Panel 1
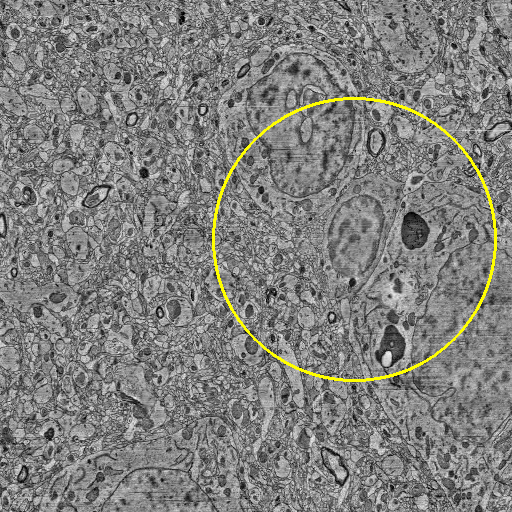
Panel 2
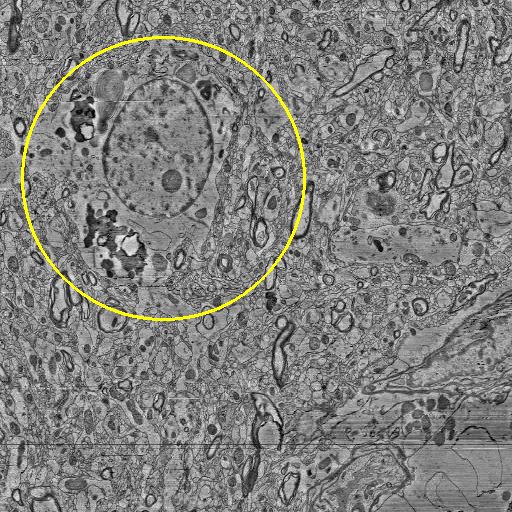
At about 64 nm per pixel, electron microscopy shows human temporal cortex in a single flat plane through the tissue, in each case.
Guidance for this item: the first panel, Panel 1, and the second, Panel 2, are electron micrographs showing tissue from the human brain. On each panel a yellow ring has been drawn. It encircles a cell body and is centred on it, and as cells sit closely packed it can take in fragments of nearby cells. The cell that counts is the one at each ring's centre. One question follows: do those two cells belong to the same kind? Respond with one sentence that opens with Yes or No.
No, the cells at the ring centres in Panel 1 and Panel 2 are of two kinds.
